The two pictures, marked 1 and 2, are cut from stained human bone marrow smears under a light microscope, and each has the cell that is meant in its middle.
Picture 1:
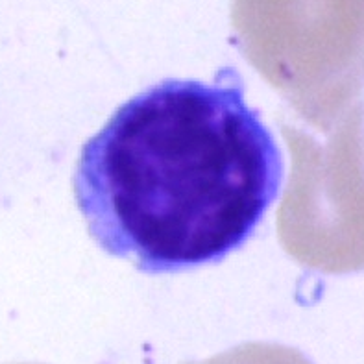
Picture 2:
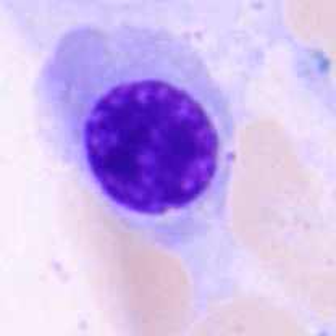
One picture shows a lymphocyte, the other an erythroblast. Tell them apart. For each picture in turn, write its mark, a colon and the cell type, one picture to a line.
1: lymphocyte
2: erythroblast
